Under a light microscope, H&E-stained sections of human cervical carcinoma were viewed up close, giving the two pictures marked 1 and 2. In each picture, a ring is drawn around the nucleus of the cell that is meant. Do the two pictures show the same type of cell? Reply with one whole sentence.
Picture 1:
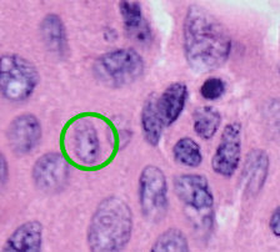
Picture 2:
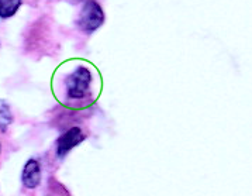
No. Picture 1 shows a squamous carcinoma cell, but picture 2 shows a lymphocyte.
